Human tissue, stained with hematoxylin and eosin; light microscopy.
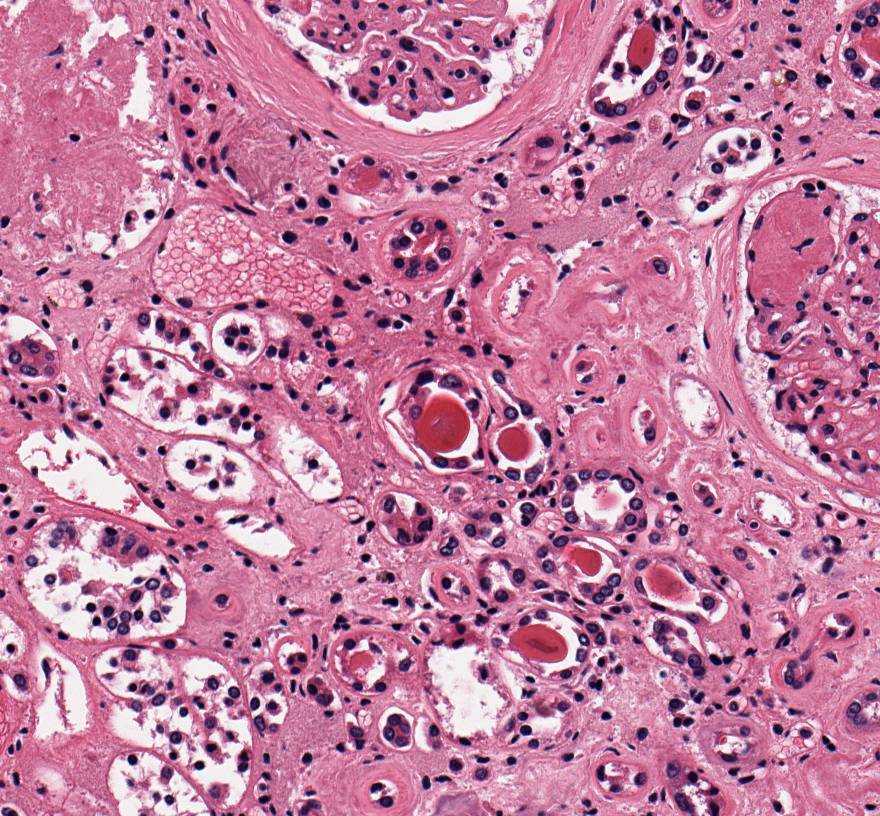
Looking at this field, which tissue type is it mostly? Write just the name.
cortical labyrinth of the kidney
